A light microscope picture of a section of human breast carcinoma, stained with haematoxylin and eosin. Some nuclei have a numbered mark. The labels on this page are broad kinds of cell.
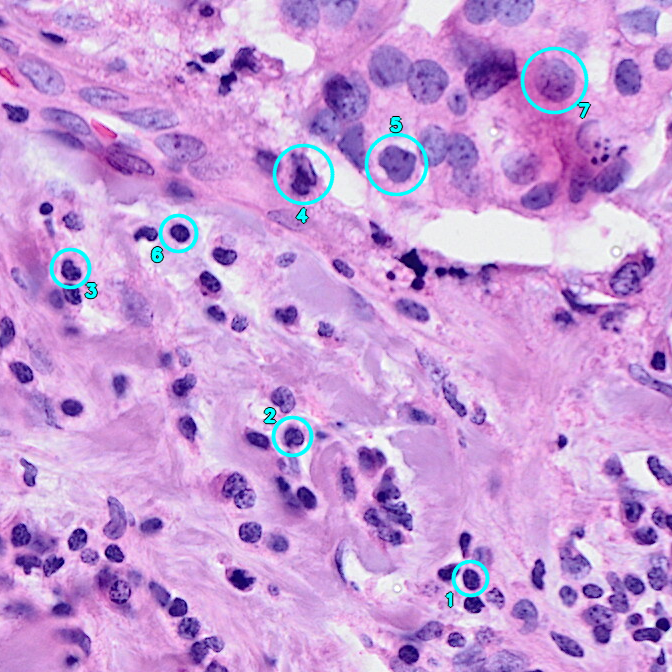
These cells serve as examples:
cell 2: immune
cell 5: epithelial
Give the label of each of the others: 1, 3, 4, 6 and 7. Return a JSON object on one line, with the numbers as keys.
{"1": "immune", "3": "immune", "4": "epithelial", "6": "immune", "7": "epithelial"}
